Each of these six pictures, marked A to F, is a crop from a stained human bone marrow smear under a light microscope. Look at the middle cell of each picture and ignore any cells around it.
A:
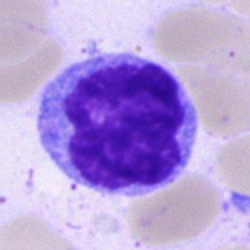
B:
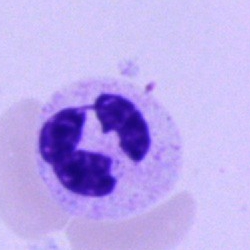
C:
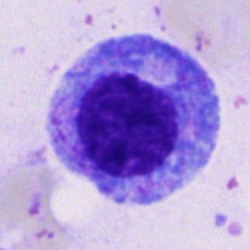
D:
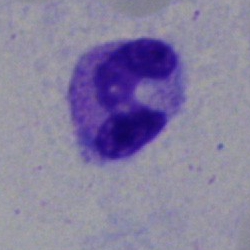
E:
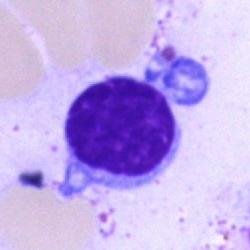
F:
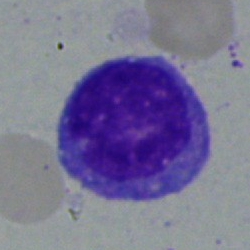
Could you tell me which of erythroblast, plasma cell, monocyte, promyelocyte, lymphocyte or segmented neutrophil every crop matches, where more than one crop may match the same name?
A: monocyte
B: segmented neutrophil
C: promyelocyte
D: segmented neutrophil
E: lymphocyte
F: monocyte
